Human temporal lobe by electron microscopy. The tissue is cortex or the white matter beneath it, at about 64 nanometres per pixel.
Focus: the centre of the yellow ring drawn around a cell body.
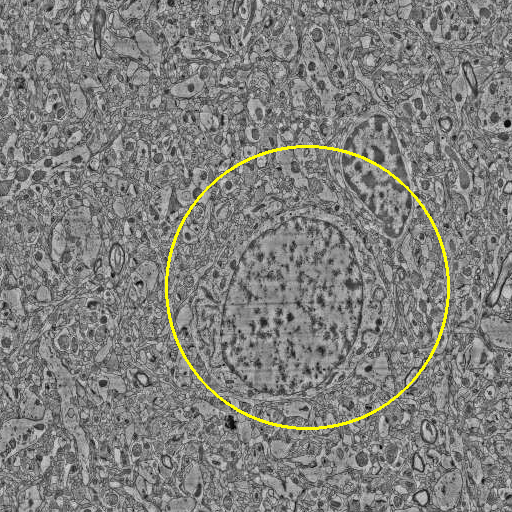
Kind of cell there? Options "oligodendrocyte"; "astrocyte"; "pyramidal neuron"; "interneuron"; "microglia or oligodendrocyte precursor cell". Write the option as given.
interneuron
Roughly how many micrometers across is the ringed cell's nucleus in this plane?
About 12 by 9 micrometers, in this plane.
